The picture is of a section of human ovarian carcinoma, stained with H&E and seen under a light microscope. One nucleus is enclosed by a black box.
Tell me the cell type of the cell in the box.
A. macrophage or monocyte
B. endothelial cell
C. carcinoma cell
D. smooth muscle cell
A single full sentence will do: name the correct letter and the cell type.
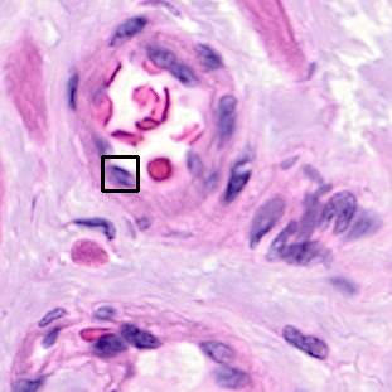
Best answer: option B, with the cell in the box being an endothelial cell.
